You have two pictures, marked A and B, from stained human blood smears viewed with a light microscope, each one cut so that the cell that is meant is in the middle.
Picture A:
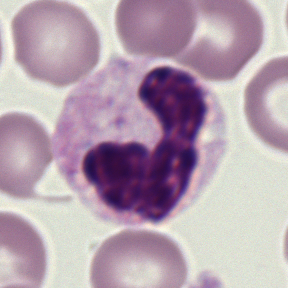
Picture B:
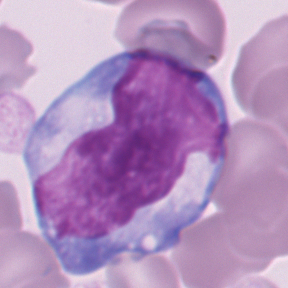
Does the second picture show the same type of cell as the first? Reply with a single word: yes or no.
no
